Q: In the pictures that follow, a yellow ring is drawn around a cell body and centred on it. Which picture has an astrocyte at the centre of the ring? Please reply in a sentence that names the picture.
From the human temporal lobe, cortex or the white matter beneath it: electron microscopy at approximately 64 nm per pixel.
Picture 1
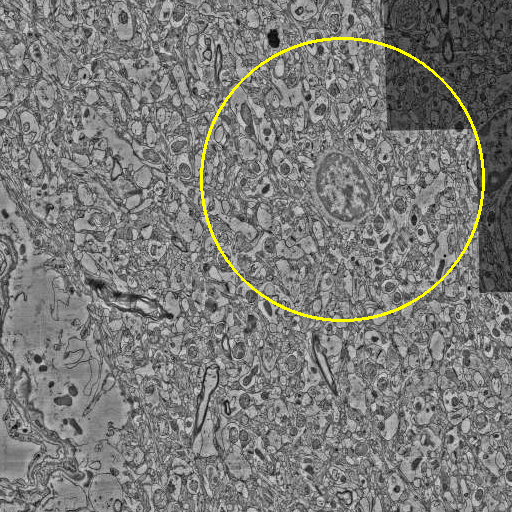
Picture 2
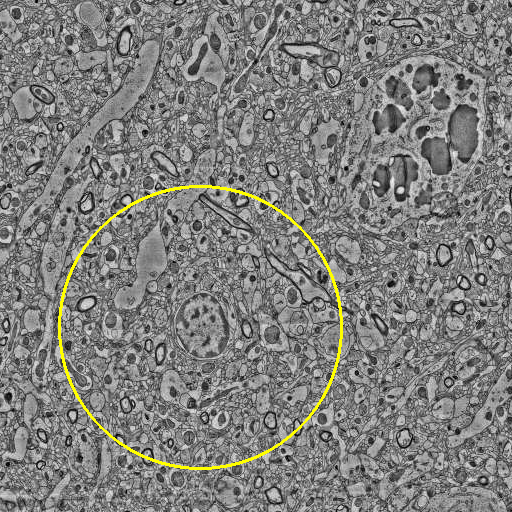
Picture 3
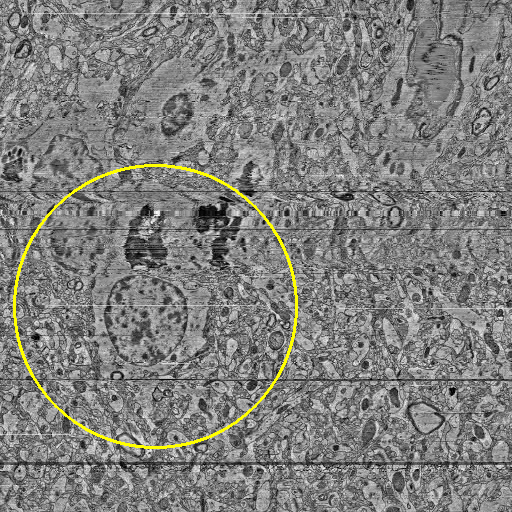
Picture 3 shows it at the centre of its ring.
